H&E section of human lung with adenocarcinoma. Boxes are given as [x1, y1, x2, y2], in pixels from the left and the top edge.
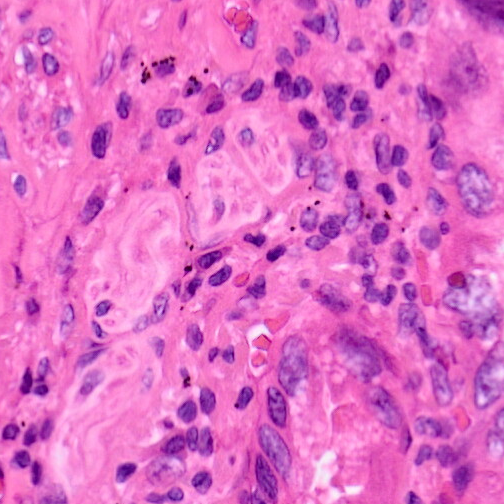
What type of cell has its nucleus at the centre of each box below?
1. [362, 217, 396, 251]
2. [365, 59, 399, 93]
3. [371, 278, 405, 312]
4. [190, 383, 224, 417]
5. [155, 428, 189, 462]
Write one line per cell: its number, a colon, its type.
1: lymphocyte
2: plasma cell
3: lymphocyte
4: lymphocyte
5: plasma cell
